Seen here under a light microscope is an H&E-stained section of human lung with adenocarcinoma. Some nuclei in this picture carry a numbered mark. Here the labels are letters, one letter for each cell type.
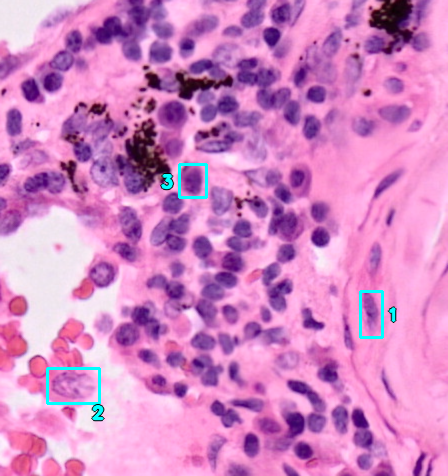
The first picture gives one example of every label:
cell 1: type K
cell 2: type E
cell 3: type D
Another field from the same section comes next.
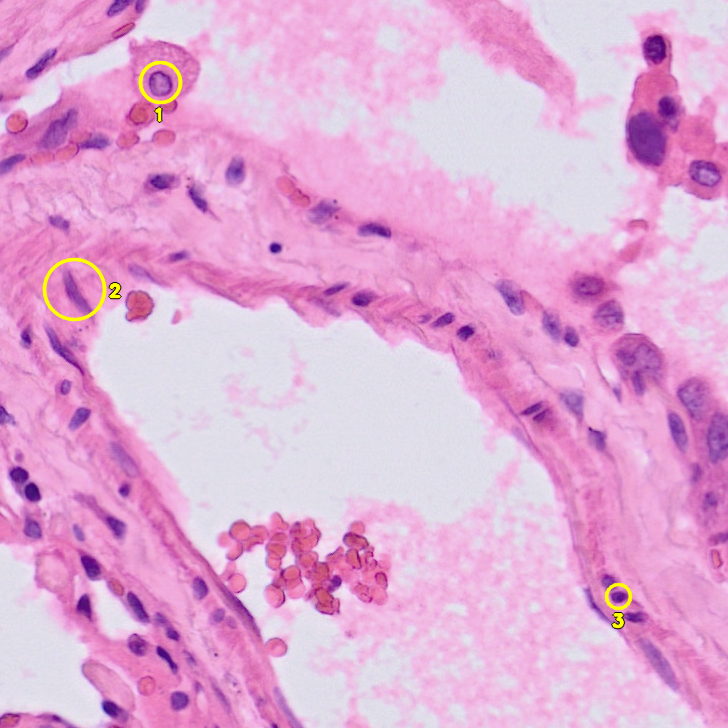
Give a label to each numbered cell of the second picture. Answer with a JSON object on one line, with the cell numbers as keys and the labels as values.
{"1": "type E", "2": "type K", "3": "type K"}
